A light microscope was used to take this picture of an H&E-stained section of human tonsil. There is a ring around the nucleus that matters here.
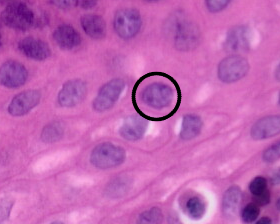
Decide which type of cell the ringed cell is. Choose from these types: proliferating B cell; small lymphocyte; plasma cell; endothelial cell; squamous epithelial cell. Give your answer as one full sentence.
Labelled by cell type, the ringed cell is a squamous epithelial cell.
